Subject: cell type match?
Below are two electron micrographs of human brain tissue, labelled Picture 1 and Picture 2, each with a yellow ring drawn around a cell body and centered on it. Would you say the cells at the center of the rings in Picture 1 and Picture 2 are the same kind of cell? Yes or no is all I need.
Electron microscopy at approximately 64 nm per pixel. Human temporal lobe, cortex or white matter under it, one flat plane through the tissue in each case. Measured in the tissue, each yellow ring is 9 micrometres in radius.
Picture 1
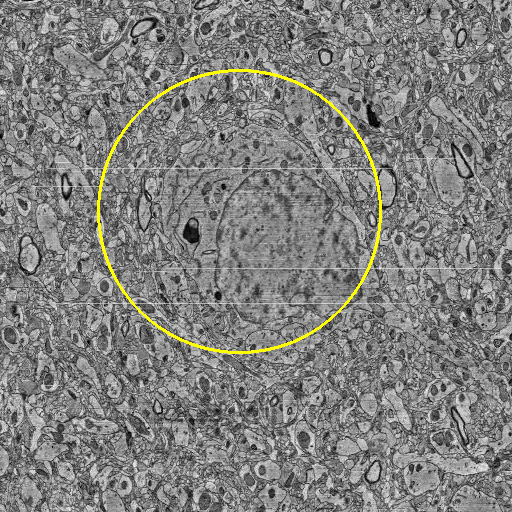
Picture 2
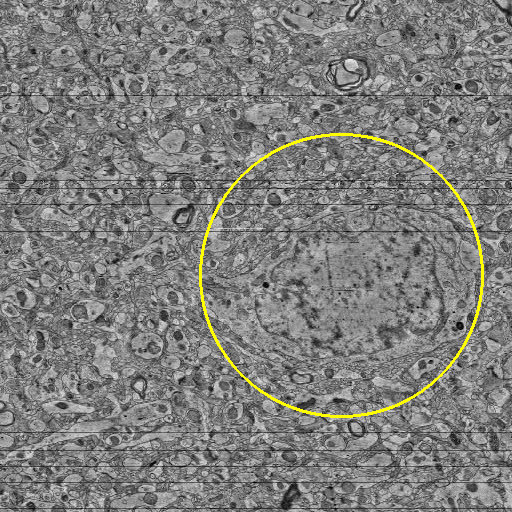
yes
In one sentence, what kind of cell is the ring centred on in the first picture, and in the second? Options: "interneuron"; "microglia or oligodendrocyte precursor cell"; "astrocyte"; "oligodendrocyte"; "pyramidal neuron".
In each picture the ringed cell is an interneuron.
